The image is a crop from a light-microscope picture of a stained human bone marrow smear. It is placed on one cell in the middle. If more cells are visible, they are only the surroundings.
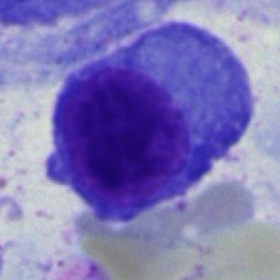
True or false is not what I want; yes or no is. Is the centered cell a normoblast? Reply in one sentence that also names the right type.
No, the cell in the middle should be called a plasma cell instead of a normoblast.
